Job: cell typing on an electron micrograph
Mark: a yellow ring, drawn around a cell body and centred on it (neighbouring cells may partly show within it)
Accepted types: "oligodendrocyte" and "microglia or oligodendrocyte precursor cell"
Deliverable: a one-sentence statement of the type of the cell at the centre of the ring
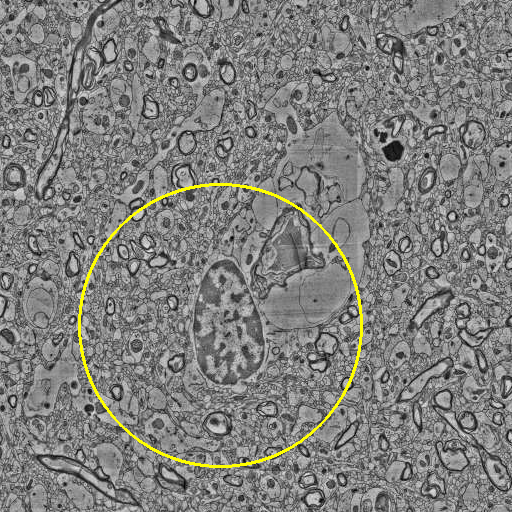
The centred cell body is that of a microglial cell or oligodendrocyte precursor cell.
